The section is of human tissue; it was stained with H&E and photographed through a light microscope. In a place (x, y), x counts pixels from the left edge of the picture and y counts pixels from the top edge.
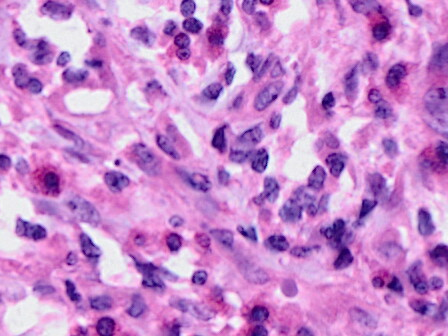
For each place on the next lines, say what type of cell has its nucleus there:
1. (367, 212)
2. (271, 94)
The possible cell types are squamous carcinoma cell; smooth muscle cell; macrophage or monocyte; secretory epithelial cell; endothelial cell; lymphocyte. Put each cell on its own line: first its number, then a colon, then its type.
1: lymphocyte
2: endothelial cell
